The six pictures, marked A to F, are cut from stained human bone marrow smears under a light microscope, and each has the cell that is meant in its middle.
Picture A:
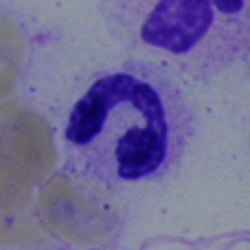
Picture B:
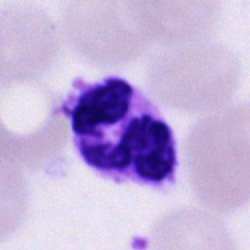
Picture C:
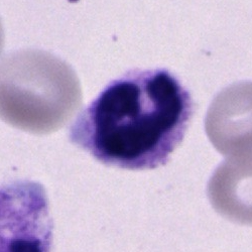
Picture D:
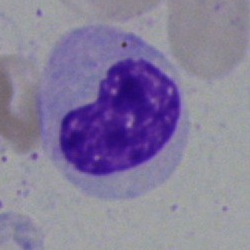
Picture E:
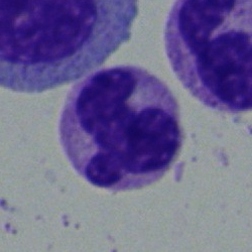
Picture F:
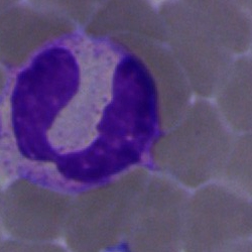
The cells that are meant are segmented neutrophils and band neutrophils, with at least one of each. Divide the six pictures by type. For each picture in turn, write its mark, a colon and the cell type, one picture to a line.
A: band neutrophil
B: segmented neutrophil
C: segmented neutrophil
D: band neutrophil
E: segmented neutrophil
F: segmented neutrophil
